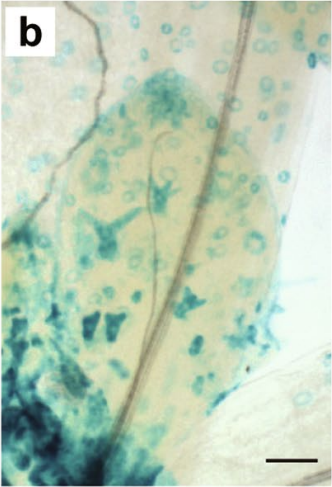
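Scattered over the epidermis are many small oval rings, each formed by a pair of guard cells around a pore, and these rings are outlined in blue. Larger blue shapes with forked or star-like arms are developing trichomes, the hairs of the leaf surface. Unstained brownish veins run across the blade. Toward the lower left, at the base of the leaf, the blue stain becomes dense and dark.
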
